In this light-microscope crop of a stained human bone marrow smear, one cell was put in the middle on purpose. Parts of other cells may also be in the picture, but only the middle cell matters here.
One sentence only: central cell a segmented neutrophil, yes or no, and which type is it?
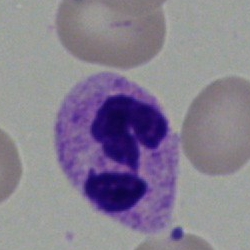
Yes, the cell sitting in the center is a segmented neutrophil.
